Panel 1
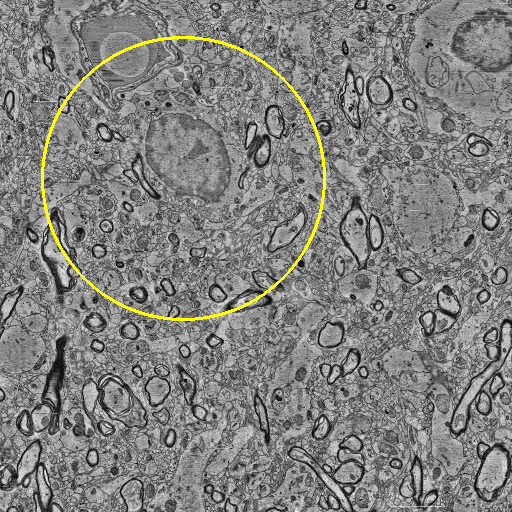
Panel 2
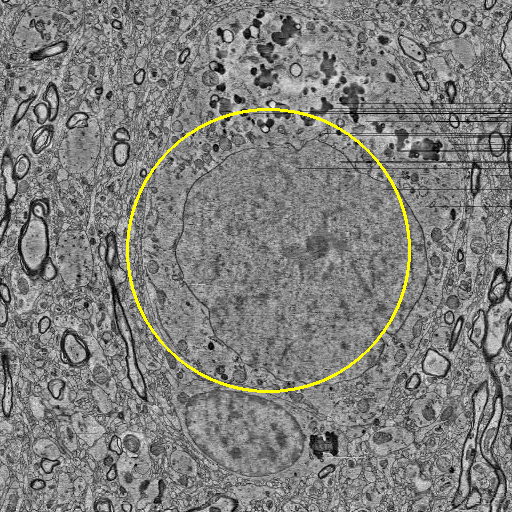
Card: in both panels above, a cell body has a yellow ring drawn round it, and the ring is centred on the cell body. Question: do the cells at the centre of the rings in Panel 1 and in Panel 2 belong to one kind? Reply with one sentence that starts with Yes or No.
No, the cells centred in the rings of Panel 1 and Panel 2 are two kinds of cell.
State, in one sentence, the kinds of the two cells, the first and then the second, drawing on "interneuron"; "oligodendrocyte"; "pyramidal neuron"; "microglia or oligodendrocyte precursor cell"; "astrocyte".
The ring in the second picture is centred on a pyramidal neuron, the ring in the first on an oligodendrocyte.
